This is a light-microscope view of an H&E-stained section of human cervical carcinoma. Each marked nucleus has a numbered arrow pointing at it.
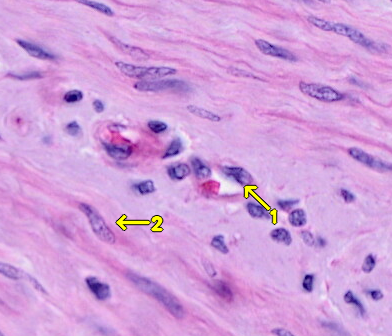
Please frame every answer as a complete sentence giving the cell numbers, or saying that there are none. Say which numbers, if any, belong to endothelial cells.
Cell 1 is the single numbered cell that is an endothelial cell.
